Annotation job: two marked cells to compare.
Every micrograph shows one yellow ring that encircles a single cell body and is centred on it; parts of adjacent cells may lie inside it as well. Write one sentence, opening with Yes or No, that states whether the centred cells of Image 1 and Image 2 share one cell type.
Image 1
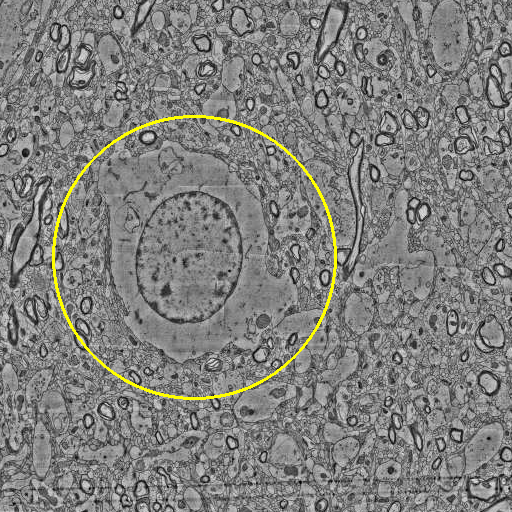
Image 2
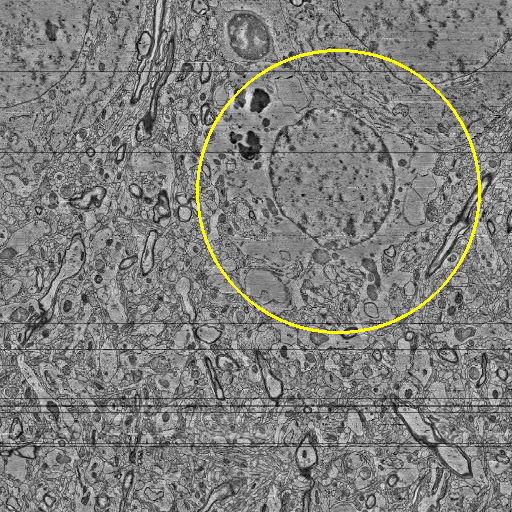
Yes, the cell centred in Image 1 shares its type with the cell centred in Image 2.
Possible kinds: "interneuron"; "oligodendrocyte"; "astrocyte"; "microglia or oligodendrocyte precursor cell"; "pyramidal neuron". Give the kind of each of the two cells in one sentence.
In the first picture and in the second, the ring is centred on an astrocyte.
